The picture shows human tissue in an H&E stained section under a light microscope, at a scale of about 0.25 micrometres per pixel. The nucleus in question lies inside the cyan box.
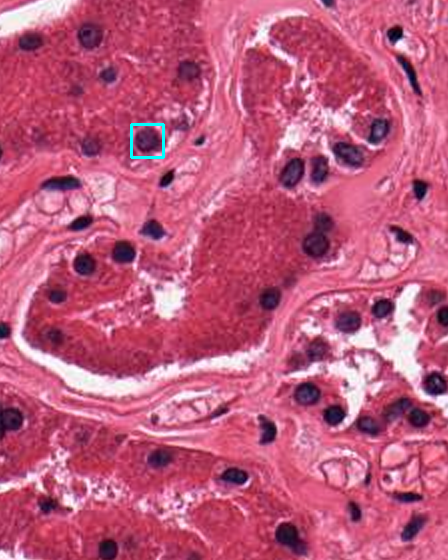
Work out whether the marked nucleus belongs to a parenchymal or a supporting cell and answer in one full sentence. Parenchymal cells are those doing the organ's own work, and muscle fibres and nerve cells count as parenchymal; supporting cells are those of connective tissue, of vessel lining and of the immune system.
This marked nucleus is part of a parenchymal cell, namely a proximal tubule cell.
